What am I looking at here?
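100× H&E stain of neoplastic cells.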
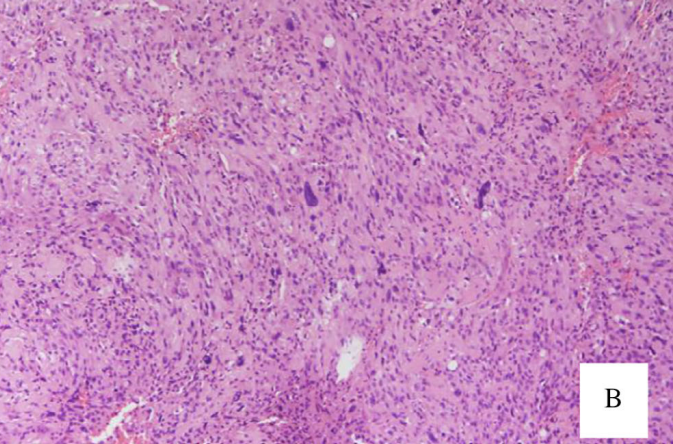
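A cellular tumour of elongated spindle cells fills the field, arranged in interlacing fascicles in a pink background. Scattered among them are a few large, dark, bizarre nuclei, and small blood vessels with red blood cells run through the tissue.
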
